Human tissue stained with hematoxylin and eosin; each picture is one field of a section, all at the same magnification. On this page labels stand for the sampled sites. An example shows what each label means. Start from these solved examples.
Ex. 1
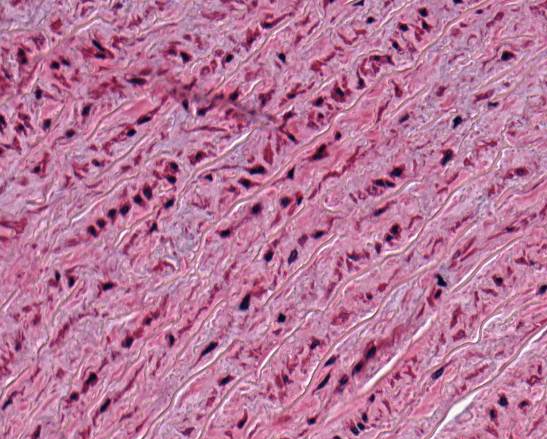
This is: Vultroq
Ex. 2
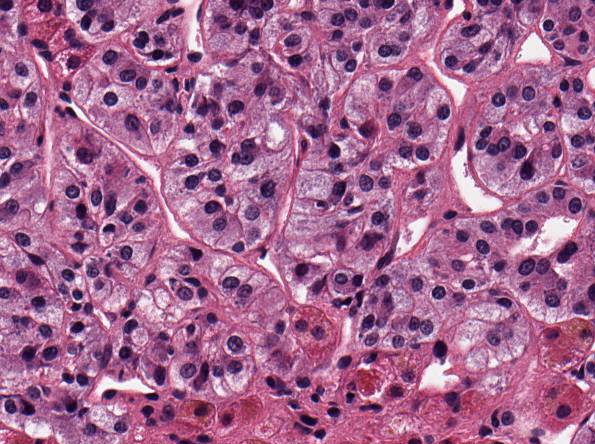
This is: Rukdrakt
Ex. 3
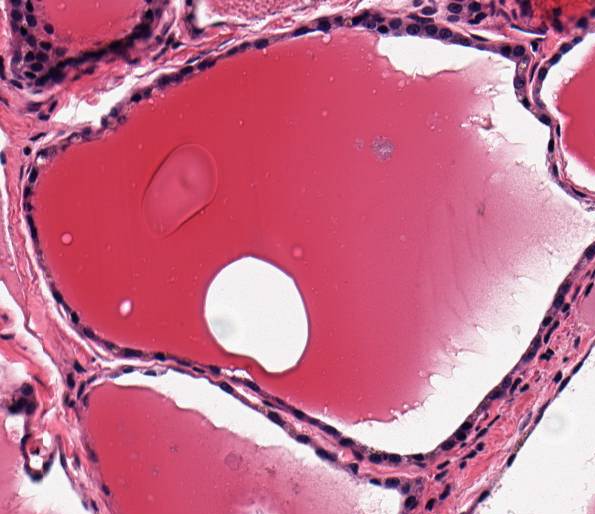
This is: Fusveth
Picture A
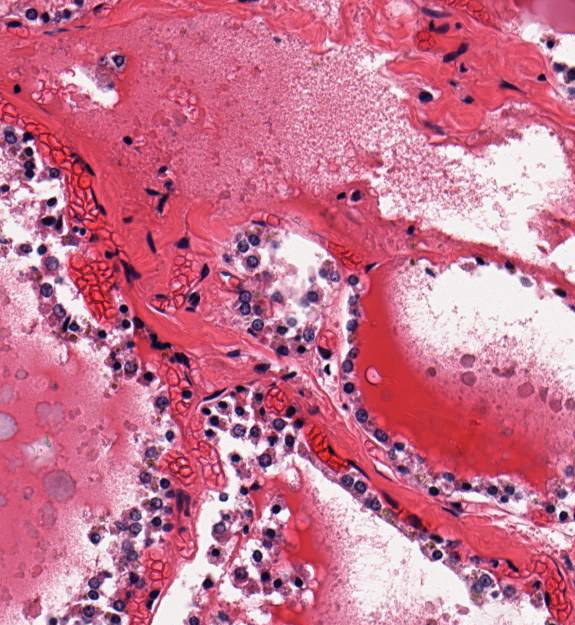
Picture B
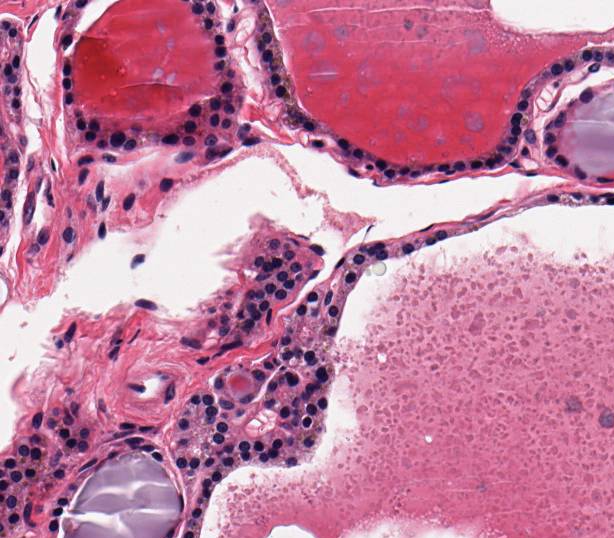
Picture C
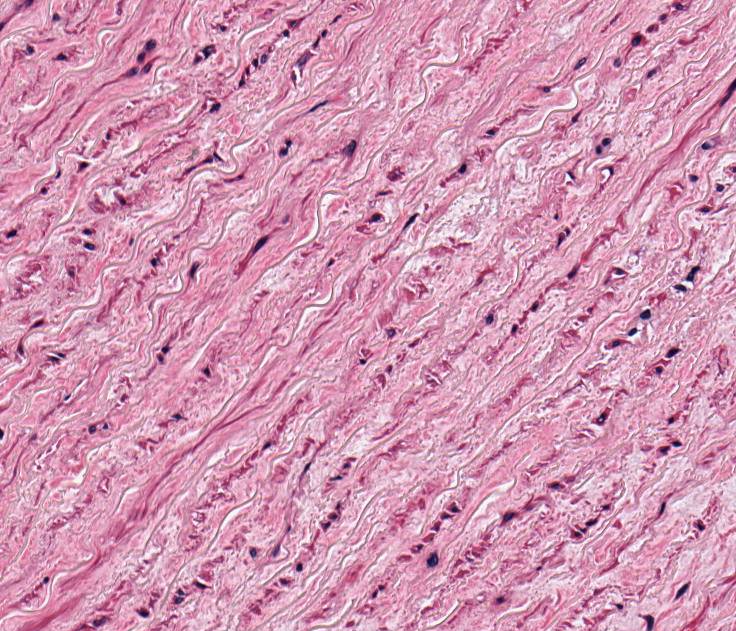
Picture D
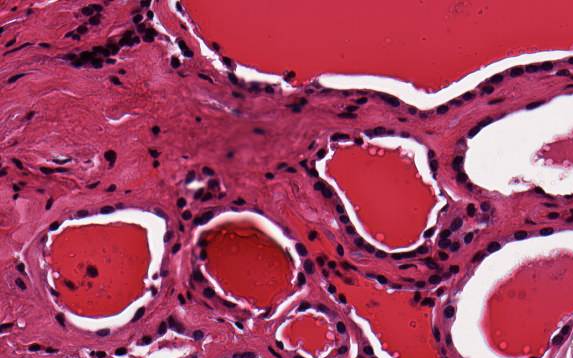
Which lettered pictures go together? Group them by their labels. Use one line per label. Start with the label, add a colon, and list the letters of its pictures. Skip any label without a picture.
Vultroq: C
Fusveth: A, B, D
